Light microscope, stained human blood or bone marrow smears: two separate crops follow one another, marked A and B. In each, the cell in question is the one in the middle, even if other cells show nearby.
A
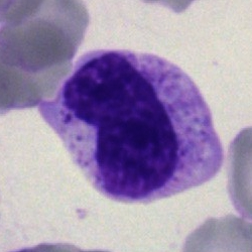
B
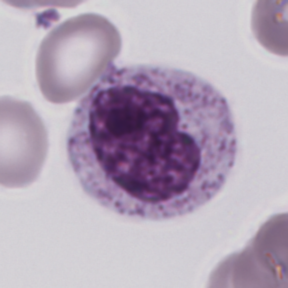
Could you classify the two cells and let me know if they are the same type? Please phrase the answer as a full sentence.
Yes, in both of the crops, the central cells are metamyelocytes.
